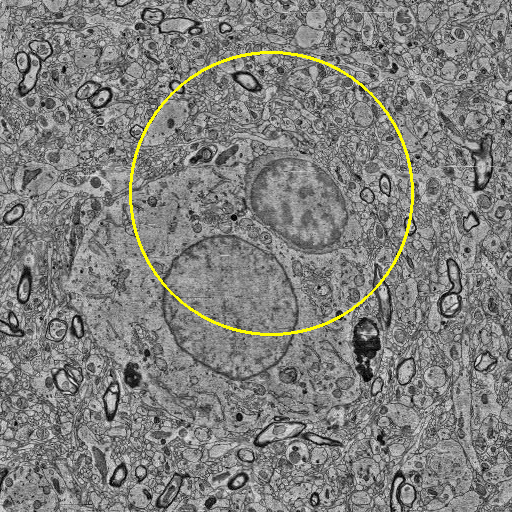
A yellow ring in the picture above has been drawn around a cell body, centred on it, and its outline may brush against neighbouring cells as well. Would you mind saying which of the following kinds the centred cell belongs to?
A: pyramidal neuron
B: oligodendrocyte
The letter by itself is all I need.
B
